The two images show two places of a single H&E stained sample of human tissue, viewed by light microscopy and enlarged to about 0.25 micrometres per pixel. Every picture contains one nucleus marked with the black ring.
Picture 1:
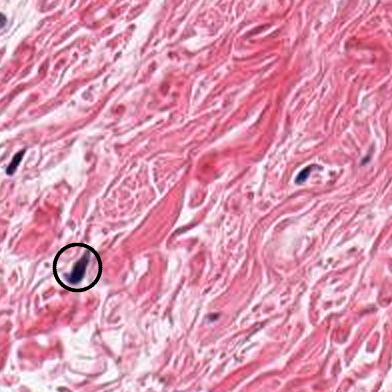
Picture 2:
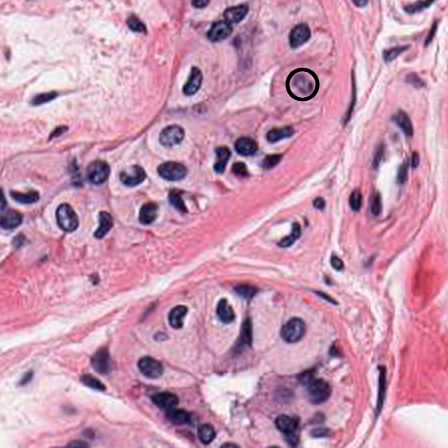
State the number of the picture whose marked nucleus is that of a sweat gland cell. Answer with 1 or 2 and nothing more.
2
